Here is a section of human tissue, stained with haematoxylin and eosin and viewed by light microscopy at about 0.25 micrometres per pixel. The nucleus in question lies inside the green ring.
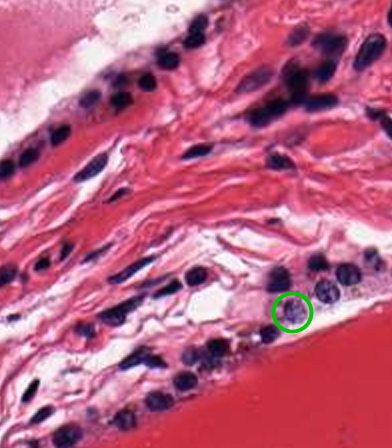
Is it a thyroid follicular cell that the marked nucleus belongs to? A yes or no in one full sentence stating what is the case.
Yes, in this section the marked nucleus belongs to a thyroid follicular cell.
